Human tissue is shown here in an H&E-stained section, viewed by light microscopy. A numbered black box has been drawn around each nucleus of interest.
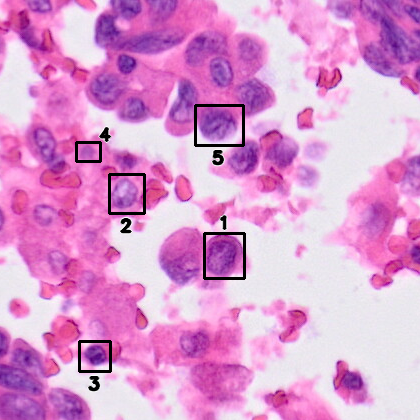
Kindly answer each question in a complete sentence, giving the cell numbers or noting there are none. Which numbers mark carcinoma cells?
The cells assigned the numbers 1 and 5 are carcinoma cells.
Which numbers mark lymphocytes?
Cell 3 is a lymphocyte, which is true of none of the other numbered cells.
